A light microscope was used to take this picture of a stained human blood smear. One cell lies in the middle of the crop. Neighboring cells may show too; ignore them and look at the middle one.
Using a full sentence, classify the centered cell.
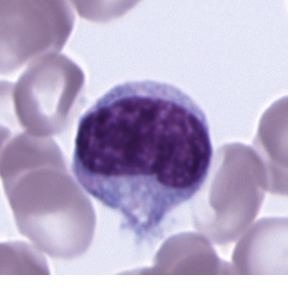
As for the cell in the middle, it is a monocyte.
